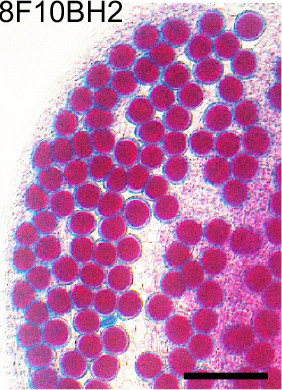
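Part of an anther densely packed with pollen grains. Almost all grains are round, full and evenly sized, with deep magenta-red contents. Shrunken pale blue grains are scarcely seen. The grains crowd the locule, with a few gaps of pale pink background between groups. The anther wall forms a thin pinkish layer around the edge.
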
